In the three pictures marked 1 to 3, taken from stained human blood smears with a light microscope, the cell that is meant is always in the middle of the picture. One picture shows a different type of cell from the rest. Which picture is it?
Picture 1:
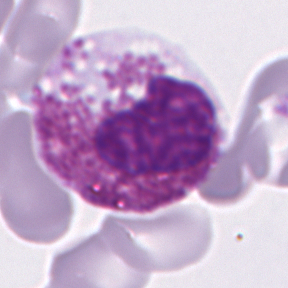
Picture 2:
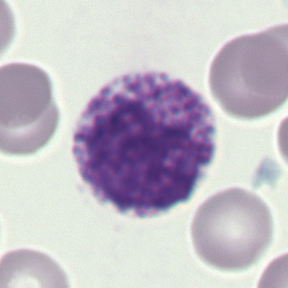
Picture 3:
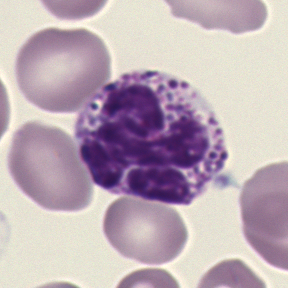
1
